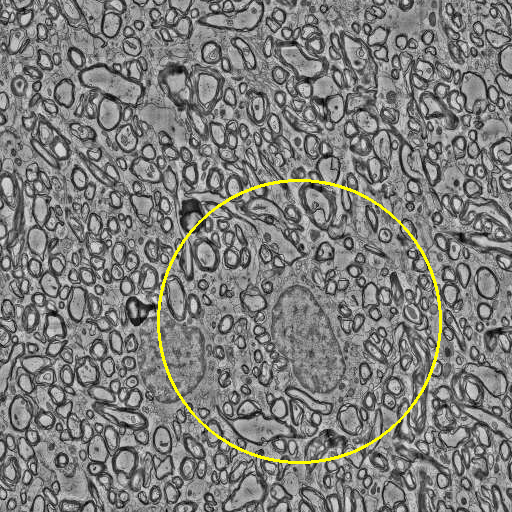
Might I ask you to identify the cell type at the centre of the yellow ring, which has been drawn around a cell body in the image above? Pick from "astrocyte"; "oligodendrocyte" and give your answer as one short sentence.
The centre of the ring falls on an oligodendrocyte.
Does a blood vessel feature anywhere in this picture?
No, none is visible.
